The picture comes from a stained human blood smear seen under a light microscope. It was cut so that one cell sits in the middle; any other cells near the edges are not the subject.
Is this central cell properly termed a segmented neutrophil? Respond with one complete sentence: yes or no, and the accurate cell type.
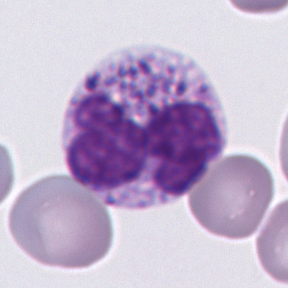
No, the central cell here is a basophil; calling it a segmented neutrophil is not right.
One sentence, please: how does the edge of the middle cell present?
Smooth outline, no projections: that is the whole story of its edge.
